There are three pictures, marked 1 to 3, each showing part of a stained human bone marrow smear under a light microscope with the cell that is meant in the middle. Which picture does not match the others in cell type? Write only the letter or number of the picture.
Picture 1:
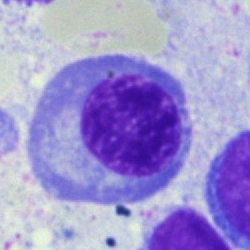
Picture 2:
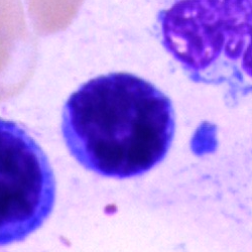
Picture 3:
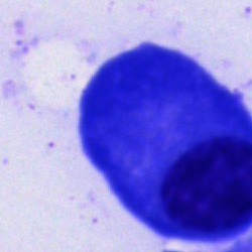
2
